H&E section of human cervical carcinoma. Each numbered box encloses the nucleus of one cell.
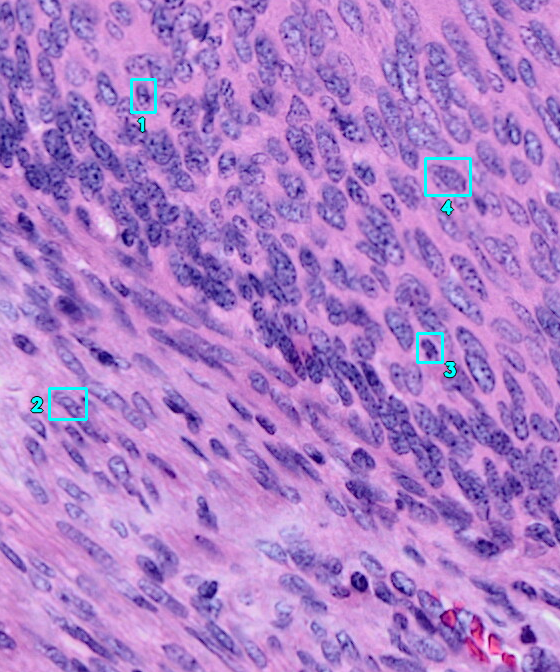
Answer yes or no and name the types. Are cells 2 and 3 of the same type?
No, cell 2 is a smooth muscle cell and cell 3 is a squamous carcinoma cell.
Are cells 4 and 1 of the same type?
Yes, both are squamous carcinoma cells.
